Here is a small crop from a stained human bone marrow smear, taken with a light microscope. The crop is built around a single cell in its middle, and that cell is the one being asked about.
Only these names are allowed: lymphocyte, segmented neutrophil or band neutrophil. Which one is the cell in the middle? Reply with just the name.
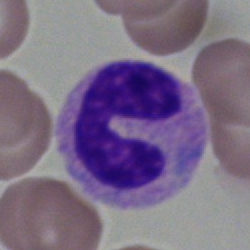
band neutrophil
